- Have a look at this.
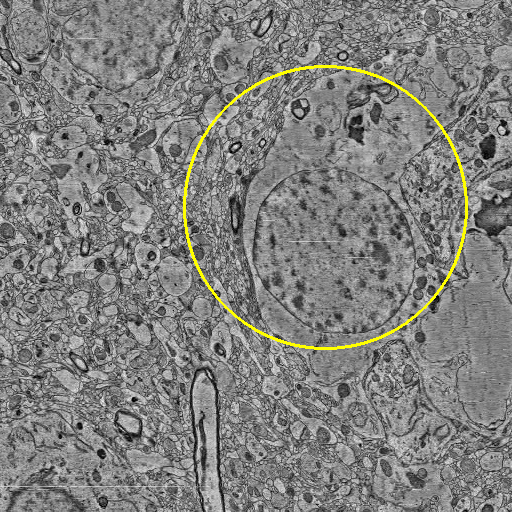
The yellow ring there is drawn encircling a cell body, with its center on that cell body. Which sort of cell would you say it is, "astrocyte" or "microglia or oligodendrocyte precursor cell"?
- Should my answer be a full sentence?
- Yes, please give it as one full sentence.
For this picture, an astrocyte is the cell where the yellow ring has its center.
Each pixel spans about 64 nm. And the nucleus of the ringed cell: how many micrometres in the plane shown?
In this plane the nucleus spans approximately 11 by 10 micrometers.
